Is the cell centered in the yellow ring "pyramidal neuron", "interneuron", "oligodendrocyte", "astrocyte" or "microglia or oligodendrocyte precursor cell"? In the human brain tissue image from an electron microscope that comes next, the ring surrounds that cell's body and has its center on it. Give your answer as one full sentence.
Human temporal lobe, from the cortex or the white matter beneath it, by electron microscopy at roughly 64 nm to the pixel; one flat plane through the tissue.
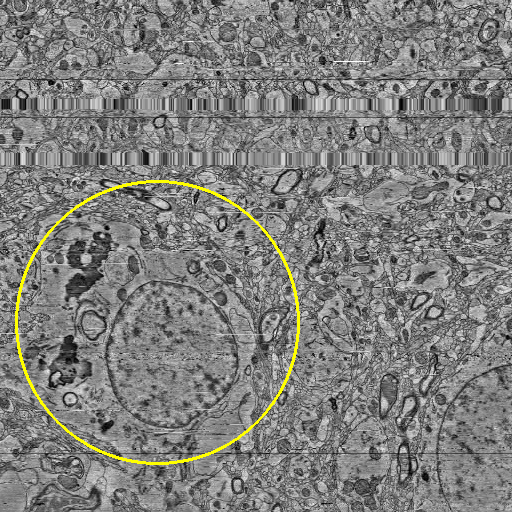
The cell at the center of the yellow ring is an astrocyte in the micrograph.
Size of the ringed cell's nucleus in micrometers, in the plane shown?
In this plane the nucleus spans approximately 10 by 8 micrometers.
